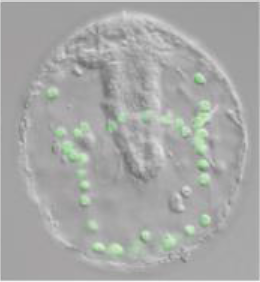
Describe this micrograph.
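This is a whole embryo seen in differential interference contrast, with green fluorescent cells laid over it. The green cells are small and rounded, each about the same size, and they do not sit in the outer wall but inside the cavity. They form two dense clusters on either side of the central tube and are joined by chains of single cells that curve around the lower part of the embryo, outlining a ring-like pattern.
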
